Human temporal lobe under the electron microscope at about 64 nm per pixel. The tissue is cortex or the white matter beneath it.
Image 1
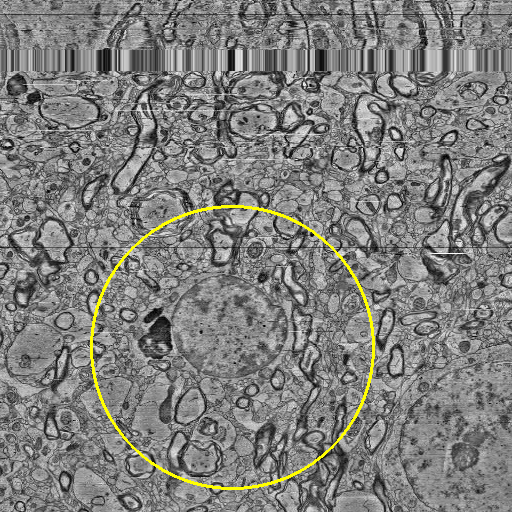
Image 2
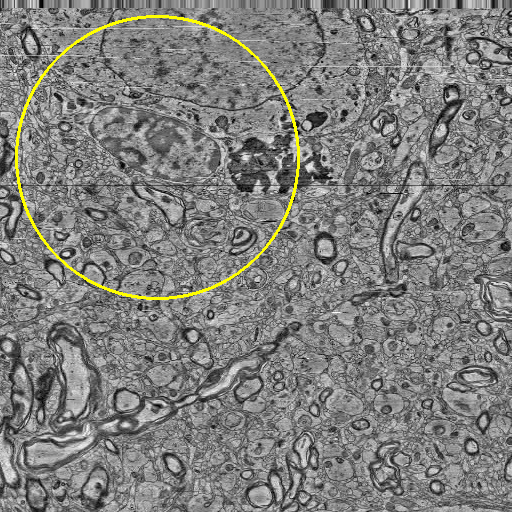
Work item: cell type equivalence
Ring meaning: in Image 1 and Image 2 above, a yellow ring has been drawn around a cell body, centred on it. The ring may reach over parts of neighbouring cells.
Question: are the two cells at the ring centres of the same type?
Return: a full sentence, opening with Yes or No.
No, the two centred cells are of two types.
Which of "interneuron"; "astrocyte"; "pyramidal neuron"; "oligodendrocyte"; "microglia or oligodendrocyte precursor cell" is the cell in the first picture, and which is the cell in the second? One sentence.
The two differ: the first cell is an oligodendrocyte and the second is a microglial cell or oligodendrocyte precursor cell.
